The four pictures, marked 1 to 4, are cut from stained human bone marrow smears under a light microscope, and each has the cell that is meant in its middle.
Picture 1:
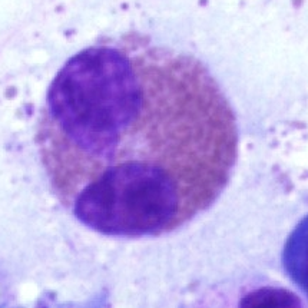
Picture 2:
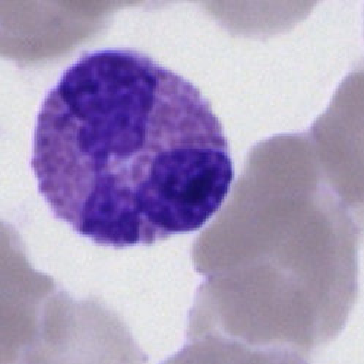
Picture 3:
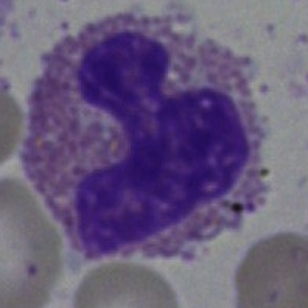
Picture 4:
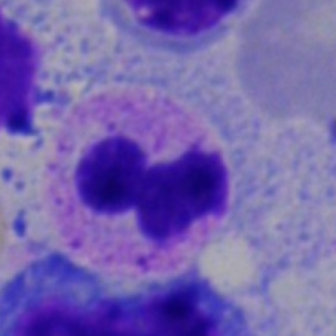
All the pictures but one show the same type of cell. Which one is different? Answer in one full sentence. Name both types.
The different one is picture 4; it shows a segmented neutrophil, whereas all the others show eosinophils.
